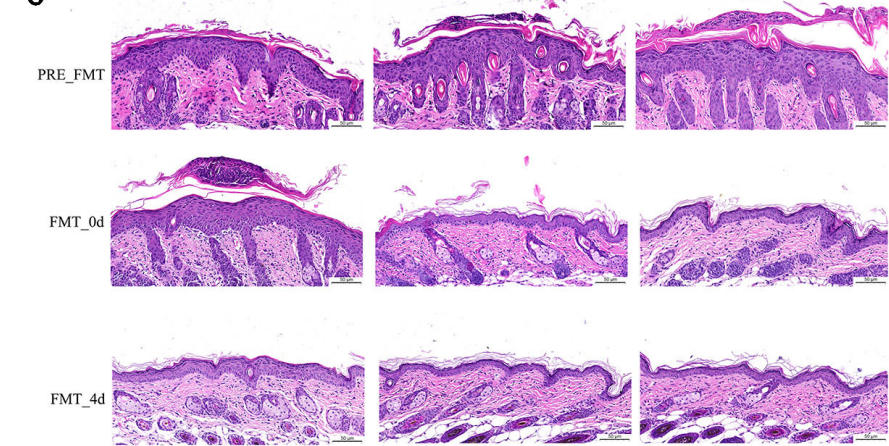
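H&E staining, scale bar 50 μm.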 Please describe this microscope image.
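Pink, layered keratin lies on the surface and in places lifts away from the epidermis. The epidermis is thicker, with more cell layers and downward ridges, in the upper sections than in the lowest row, where it is thin and the deeper dermis with follicles is visible below.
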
